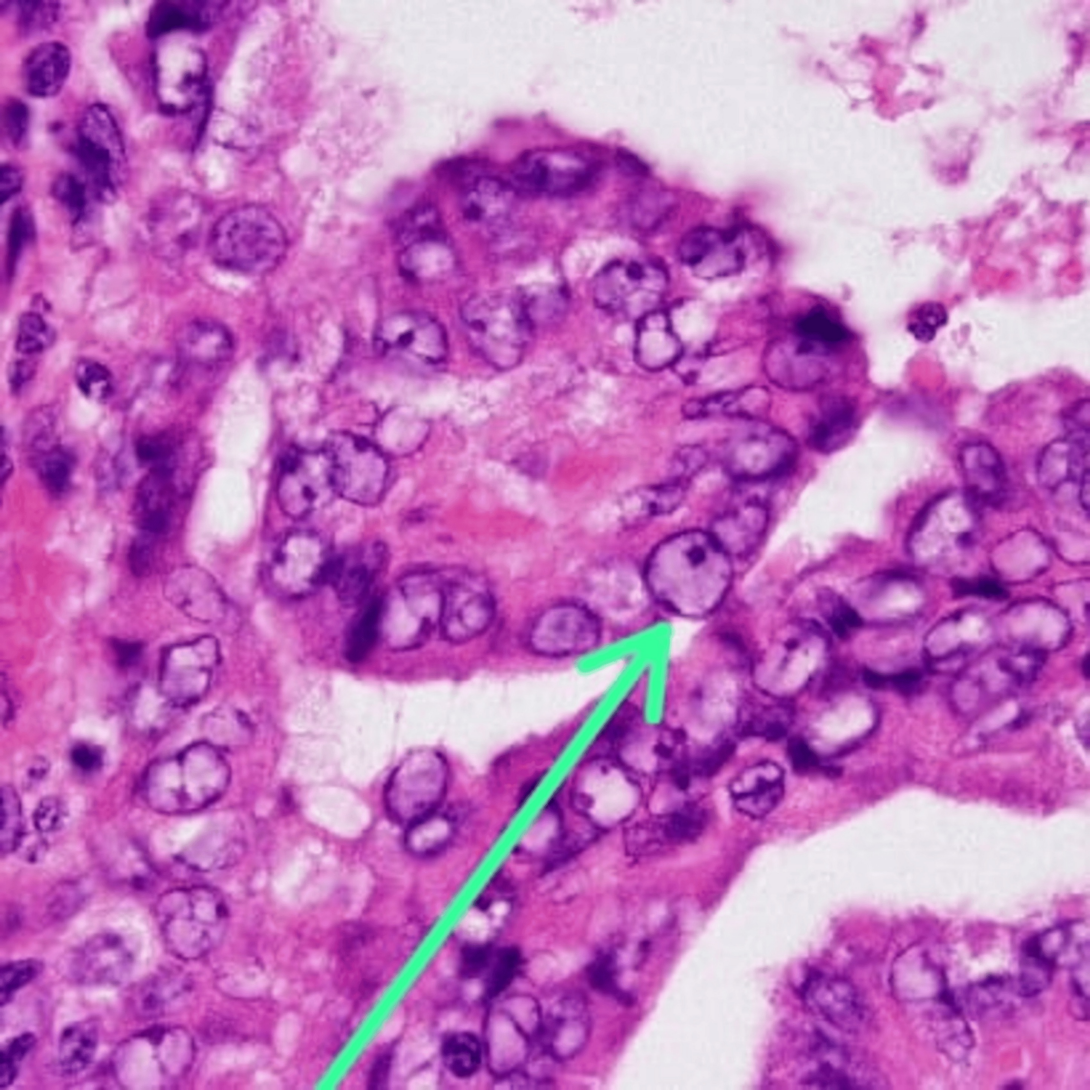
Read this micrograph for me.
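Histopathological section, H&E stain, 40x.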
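Papillary thyroid carcinoma at high magnification. Epithelial tumour cells cover papillary fronds that project into clear spaces. The fronds have a pink, loosely structured core. The cells have moderate pink cytoplasm. Their nuclei are enlarged, round to oval, crowded and overlapping. Most nuclei look optically clear and empty, with pale, finely dispersed chromatin and a crisp, dark, thickened nuclear outline. A few show small nucleoli or indentations. Scattered darker, more compact nuclei lie among them.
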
